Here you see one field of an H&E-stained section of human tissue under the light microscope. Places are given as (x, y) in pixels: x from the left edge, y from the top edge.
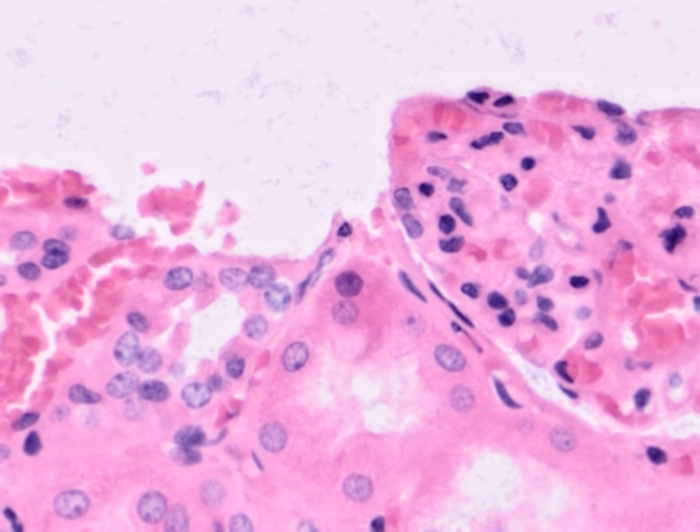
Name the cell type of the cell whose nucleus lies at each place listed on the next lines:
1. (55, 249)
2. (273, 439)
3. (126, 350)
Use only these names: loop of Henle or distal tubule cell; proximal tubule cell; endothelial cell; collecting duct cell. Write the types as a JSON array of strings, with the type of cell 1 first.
["collecting duct cell", "proximal tubule cell", "collecting duct cell"]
